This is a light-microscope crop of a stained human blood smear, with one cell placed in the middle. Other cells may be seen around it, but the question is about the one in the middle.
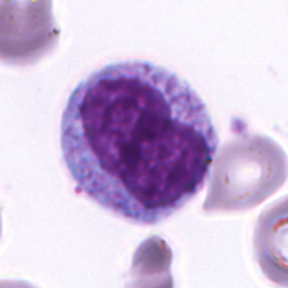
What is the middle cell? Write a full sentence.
In short, the cell at the center is a metamyelocyte.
